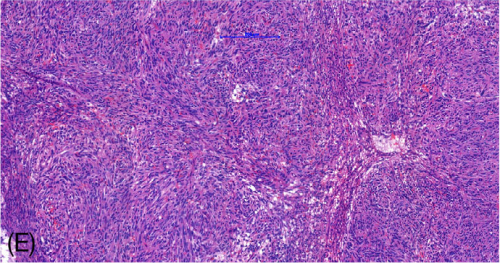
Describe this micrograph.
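Tumor of spindle and plumper epithelioid cells arranged in short intersecting fascicles and vague whorls. Nuclei are elongated to oval and purple, set in pale pink cytoplasm. Small vessels and a few clear spaces lie among the cells.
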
